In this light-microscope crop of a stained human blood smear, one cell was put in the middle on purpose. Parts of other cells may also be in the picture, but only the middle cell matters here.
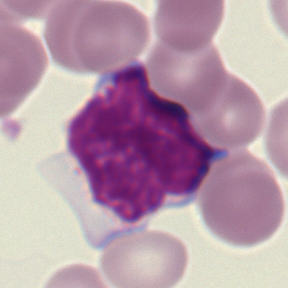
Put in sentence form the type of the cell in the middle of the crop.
At the crop's centre, the cell is a large granular lymphocyte.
